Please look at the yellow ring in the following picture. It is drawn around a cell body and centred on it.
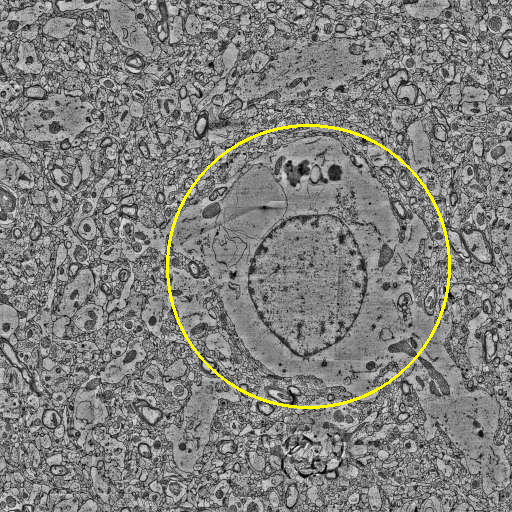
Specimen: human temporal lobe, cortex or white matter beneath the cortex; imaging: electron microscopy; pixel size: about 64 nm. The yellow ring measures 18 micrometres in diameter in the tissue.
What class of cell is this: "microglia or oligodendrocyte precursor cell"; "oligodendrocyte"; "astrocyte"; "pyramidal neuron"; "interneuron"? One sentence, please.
The ring surrounds the cell body of an astrocyte.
